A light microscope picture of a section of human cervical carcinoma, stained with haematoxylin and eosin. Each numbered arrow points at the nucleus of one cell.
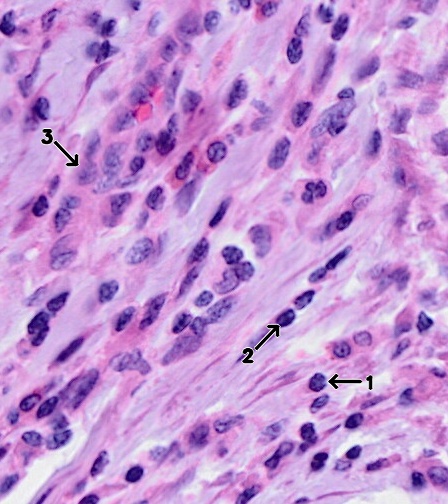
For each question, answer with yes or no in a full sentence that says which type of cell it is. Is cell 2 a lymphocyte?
Yes, that one, number 2, is a lymphocyte.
